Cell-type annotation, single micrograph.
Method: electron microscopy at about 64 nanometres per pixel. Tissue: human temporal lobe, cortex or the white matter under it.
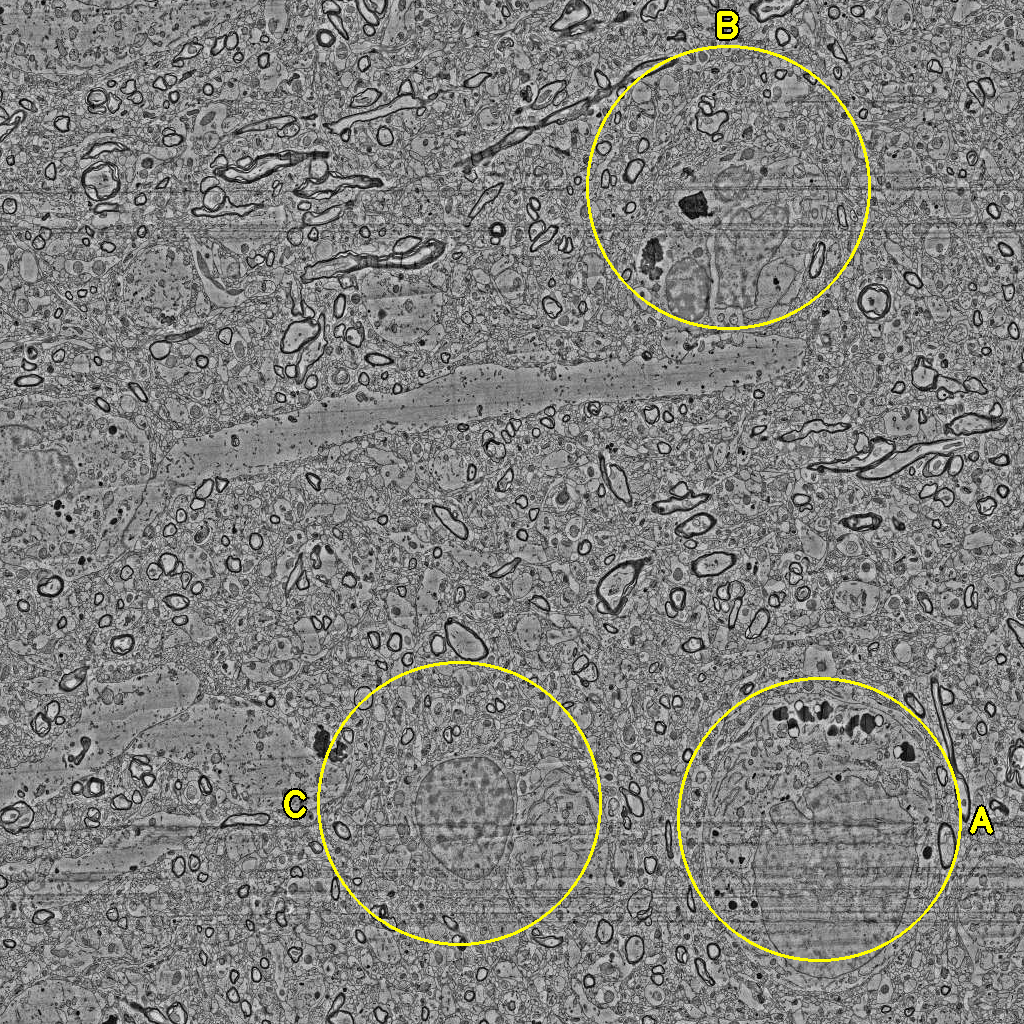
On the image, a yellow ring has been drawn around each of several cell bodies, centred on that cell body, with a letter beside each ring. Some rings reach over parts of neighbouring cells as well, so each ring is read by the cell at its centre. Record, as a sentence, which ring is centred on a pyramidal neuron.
Ring A is centred on it.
